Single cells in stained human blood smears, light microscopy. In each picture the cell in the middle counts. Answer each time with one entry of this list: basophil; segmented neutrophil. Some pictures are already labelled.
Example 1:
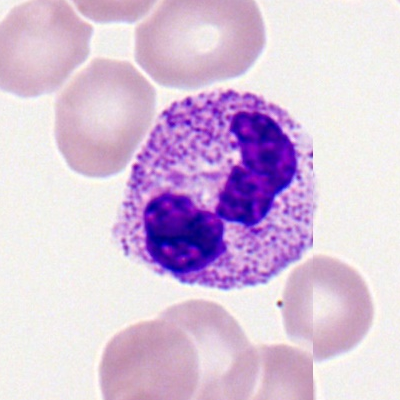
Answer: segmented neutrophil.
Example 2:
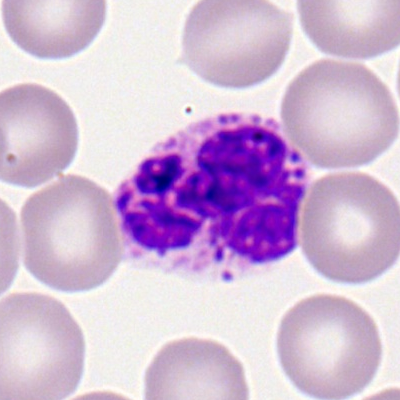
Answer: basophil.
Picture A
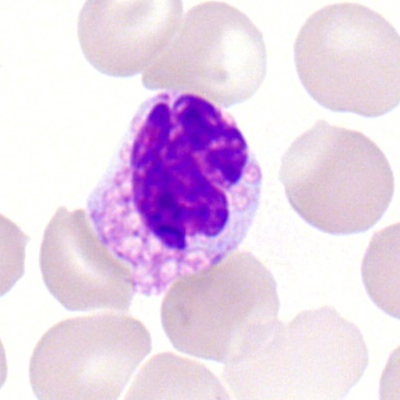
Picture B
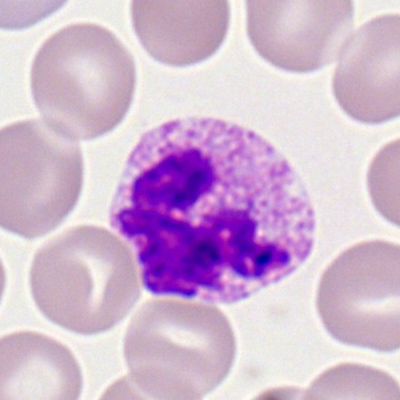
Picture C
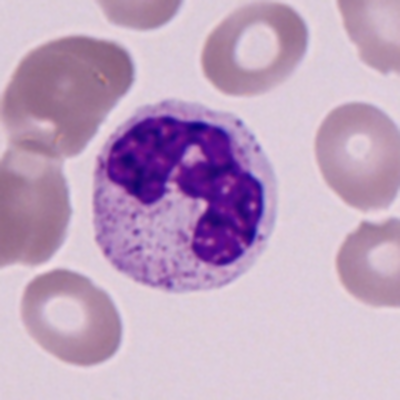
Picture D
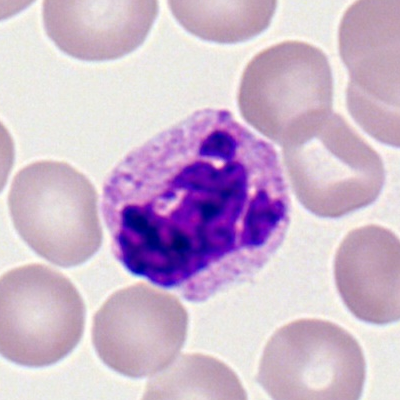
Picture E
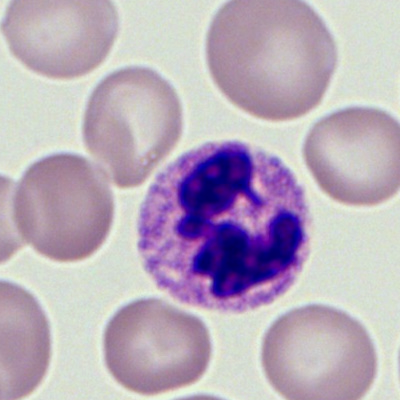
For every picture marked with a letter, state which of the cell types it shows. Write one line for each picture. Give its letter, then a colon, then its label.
A: basophil.
B: basophil.
C: segmented neutrophil.
D: basophil.
E: segmented neutrophil.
